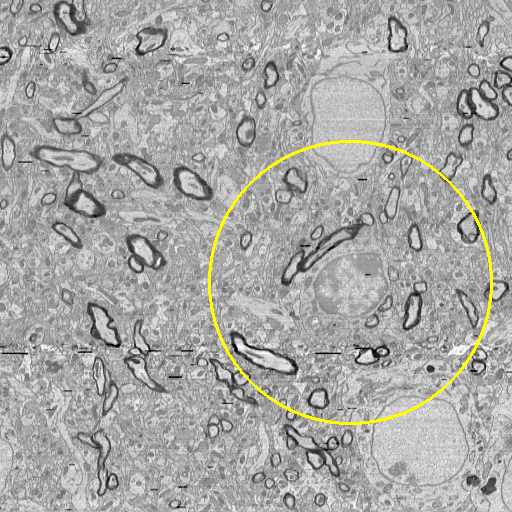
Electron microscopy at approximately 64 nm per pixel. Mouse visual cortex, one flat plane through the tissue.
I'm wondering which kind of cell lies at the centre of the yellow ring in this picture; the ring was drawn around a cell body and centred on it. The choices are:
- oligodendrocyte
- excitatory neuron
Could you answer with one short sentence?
At the centre of the ring lies an oligodendrocyte.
